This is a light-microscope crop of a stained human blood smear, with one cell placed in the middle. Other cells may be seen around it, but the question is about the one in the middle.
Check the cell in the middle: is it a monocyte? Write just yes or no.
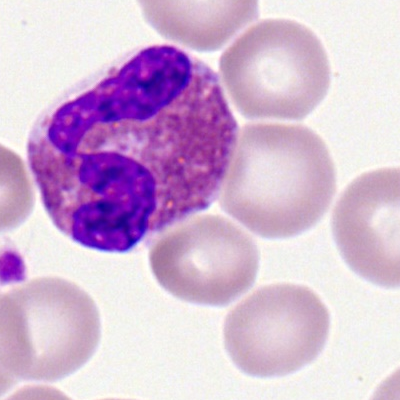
no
